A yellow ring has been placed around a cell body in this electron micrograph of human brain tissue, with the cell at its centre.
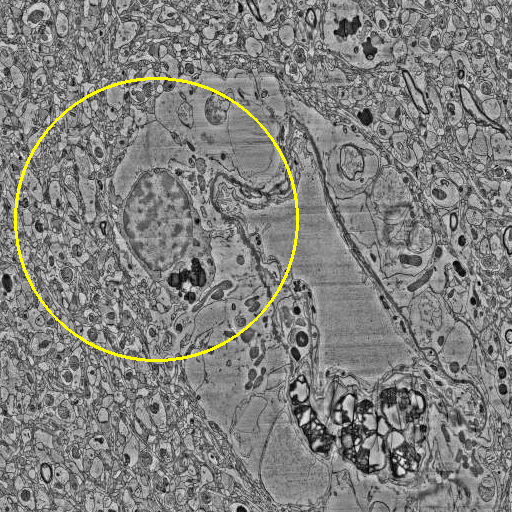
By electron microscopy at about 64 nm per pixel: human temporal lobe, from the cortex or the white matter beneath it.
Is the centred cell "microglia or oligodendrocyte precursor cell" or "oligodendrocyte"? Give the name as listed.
oligodendrocyte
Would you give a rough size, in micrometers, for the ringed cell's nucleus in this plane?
The ringed cell's nucleus is about 6 micrometres long and 5 micrometres wide in this plane.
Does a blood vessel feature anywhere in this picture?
Yes, there is a blood vessel in the image.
